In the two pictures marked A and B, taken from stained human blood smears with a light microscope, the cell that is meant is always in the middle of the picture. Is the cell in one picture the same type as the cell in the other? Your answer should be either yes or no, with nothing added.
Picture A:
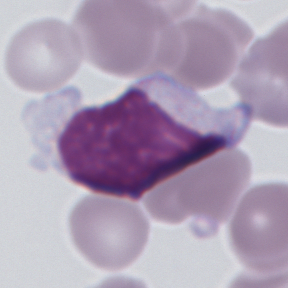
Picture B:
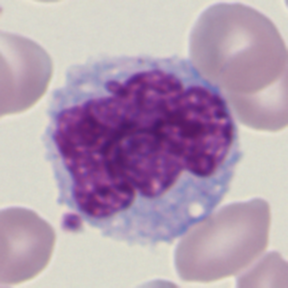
no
